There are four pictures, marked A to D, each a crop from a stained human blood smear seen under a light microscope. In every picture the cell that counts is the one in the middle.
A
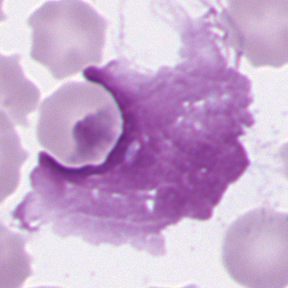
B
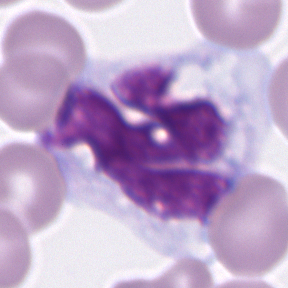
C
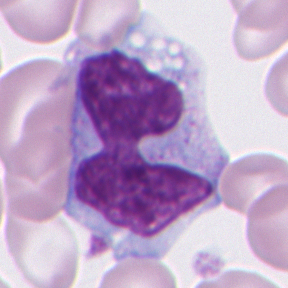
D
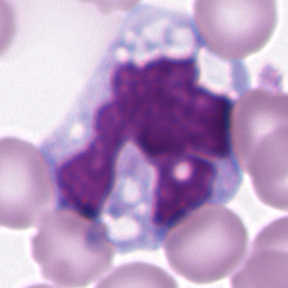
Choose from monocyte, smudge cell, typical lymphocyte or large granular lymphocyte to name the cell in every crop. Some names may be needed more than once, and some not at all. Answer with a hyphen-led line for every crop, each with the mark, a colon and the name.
- A: smudge cell
- B: monocyte
- C: monocyte
- D: monocyte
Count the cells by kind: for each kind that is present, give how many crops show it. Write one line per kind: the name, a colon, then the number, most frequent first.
monocyte: 3
smudge cell: 1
